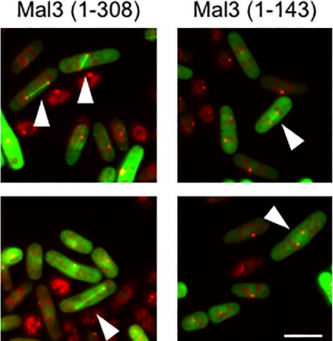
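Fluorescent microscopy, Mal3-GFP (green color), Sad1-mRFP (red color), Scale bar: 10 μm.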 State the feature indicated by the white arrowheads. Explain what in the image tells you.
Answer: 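Mitotic microtubules. Red dots lie at or near the ends of some of these green lines.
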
